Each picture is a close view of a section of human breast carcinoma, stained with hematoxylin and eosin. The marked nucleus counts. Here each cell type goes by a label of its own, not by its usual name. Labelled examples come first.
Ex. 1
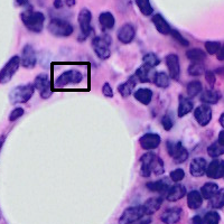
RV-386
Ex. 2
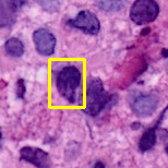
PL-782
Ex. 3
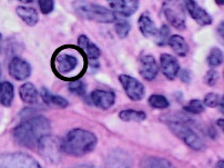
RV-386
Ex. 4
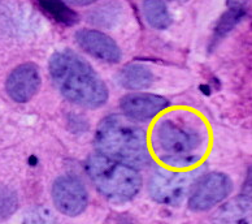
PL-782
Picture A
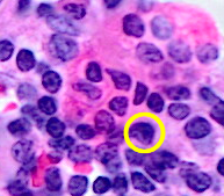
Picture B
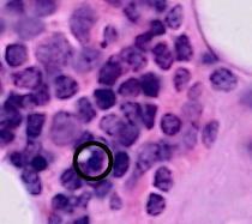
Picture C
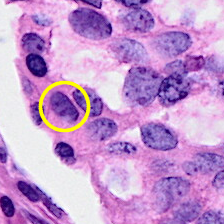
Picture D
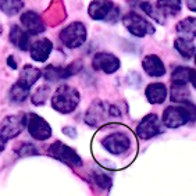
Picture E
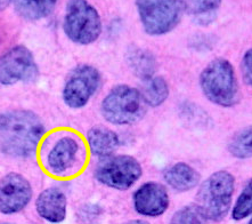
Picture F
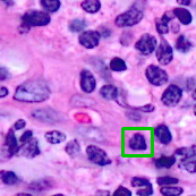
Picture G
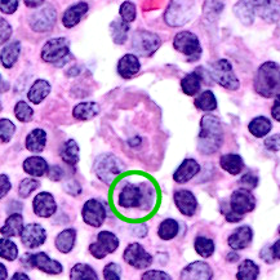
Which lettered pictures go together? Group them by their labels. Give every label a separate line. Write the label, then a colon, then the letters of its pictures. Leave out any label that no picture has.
RV-386: A, B, D, F, G
PL-782: C, E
